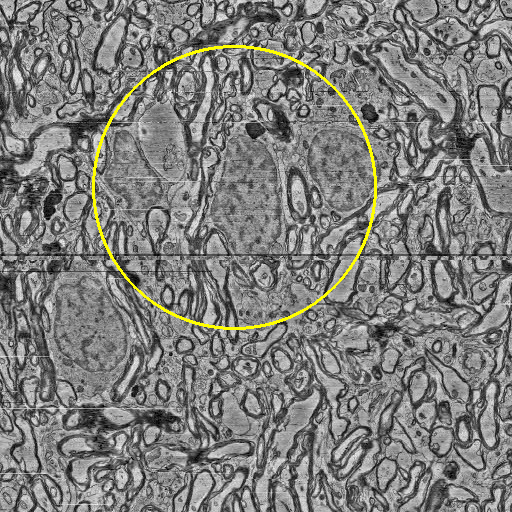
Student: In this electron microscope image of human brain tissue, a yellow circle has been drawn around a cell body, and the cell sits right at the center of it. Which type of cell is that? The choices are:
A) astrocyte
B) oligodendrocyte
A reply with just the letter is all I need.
B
